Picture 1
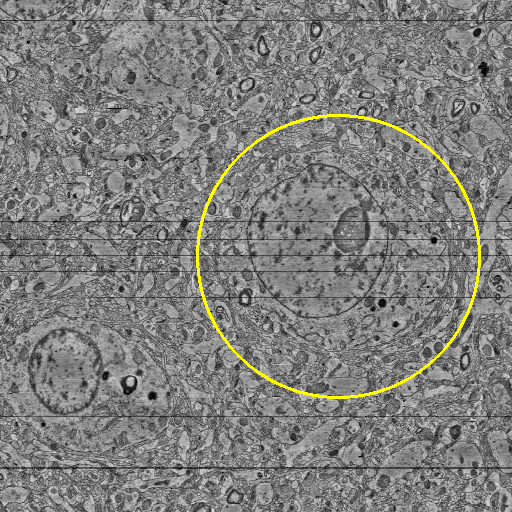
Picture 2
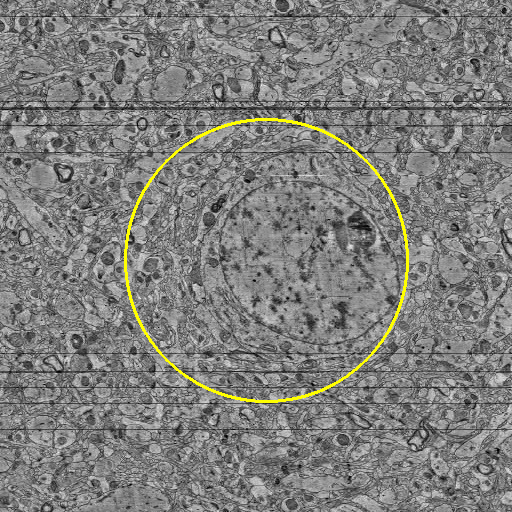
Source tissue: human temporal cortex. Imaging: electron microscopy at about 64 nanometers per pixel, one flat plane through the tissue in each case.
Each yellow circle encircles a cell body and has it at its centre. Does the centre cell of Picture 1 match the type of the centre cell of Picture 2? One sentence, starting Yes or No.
Yes, the cell centred in Picture 1 and the one in Picture 2 share a type.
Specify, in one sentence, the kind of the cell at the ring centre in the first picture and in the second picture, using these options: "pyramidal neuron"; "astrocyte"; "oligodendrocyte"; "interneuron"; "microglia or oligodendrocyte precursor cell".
Both pictures show a pyramidal neuron at the centre of the ring.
